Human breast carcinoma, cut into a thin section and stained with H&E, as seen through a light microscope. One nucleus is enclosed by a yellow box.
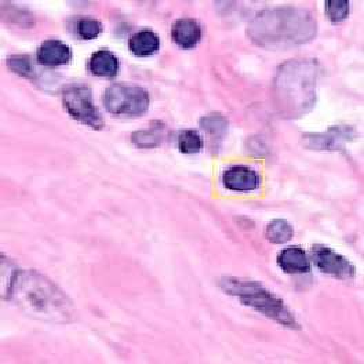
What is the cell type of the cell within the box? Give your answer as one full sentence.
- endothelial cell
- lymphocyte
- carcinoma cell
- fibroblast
To be brief about it, the cell within the box is a lymphocyte.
